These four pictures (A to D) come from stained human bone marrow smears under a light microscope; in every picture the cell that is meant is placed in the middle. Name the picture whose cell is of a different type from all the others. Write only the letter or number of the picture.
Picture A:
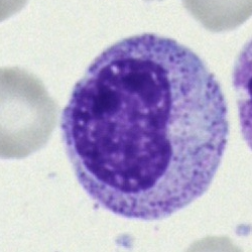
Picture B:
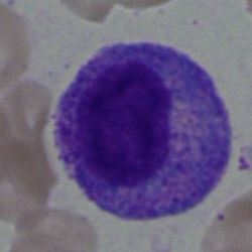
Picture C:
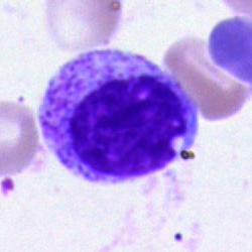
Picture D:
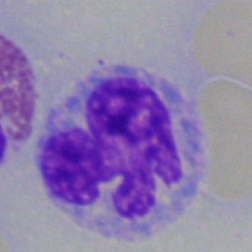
D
